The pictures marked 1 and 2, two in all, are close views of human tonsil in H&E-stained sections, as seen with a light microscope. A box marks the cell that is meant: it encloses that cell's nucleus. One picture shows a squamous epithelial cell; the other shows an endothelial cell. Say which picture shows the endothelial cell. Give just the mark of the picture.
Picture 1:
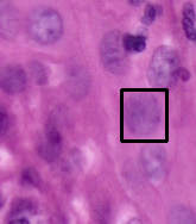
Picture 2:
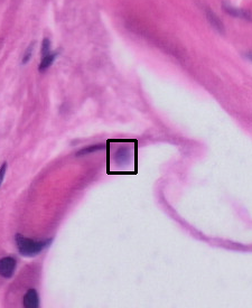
2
